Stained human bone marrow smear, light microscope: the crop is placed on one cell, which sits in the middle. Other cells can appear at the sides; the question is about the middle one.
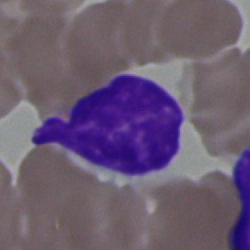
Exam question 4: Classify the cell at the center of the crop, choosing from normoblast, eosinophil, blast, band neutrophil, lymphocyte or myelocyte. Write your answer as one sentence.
The cell at the central position in this crop is a lymphocyte.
